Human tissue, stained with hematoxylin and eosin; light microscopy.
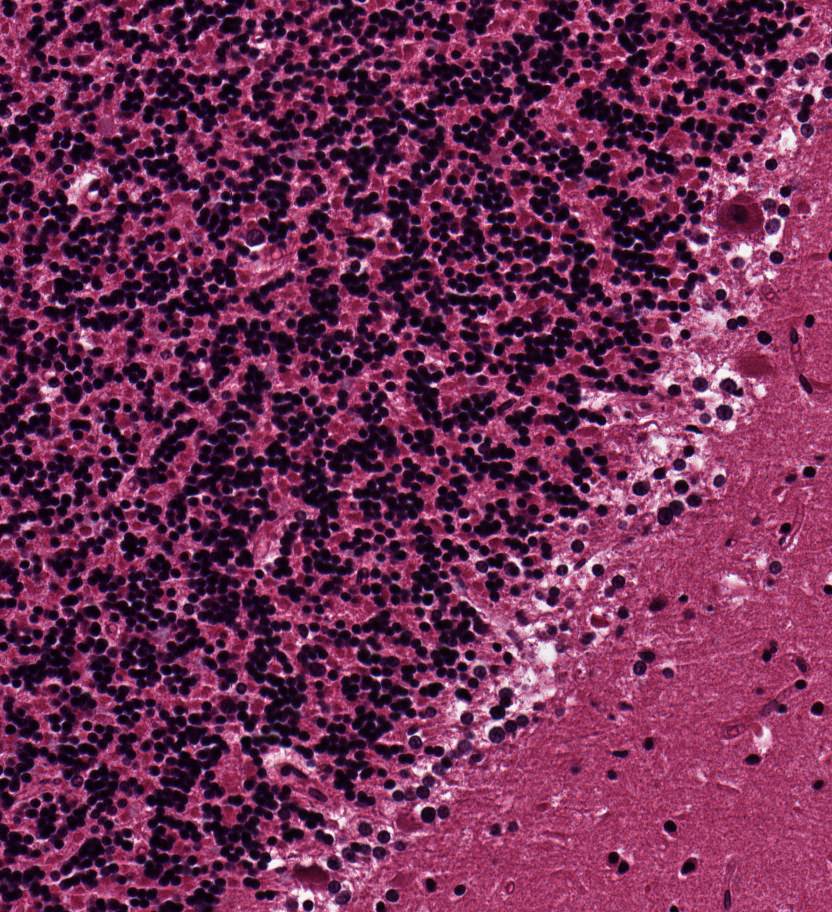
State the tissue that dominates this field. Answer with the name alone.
granular layer of the cerebellum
